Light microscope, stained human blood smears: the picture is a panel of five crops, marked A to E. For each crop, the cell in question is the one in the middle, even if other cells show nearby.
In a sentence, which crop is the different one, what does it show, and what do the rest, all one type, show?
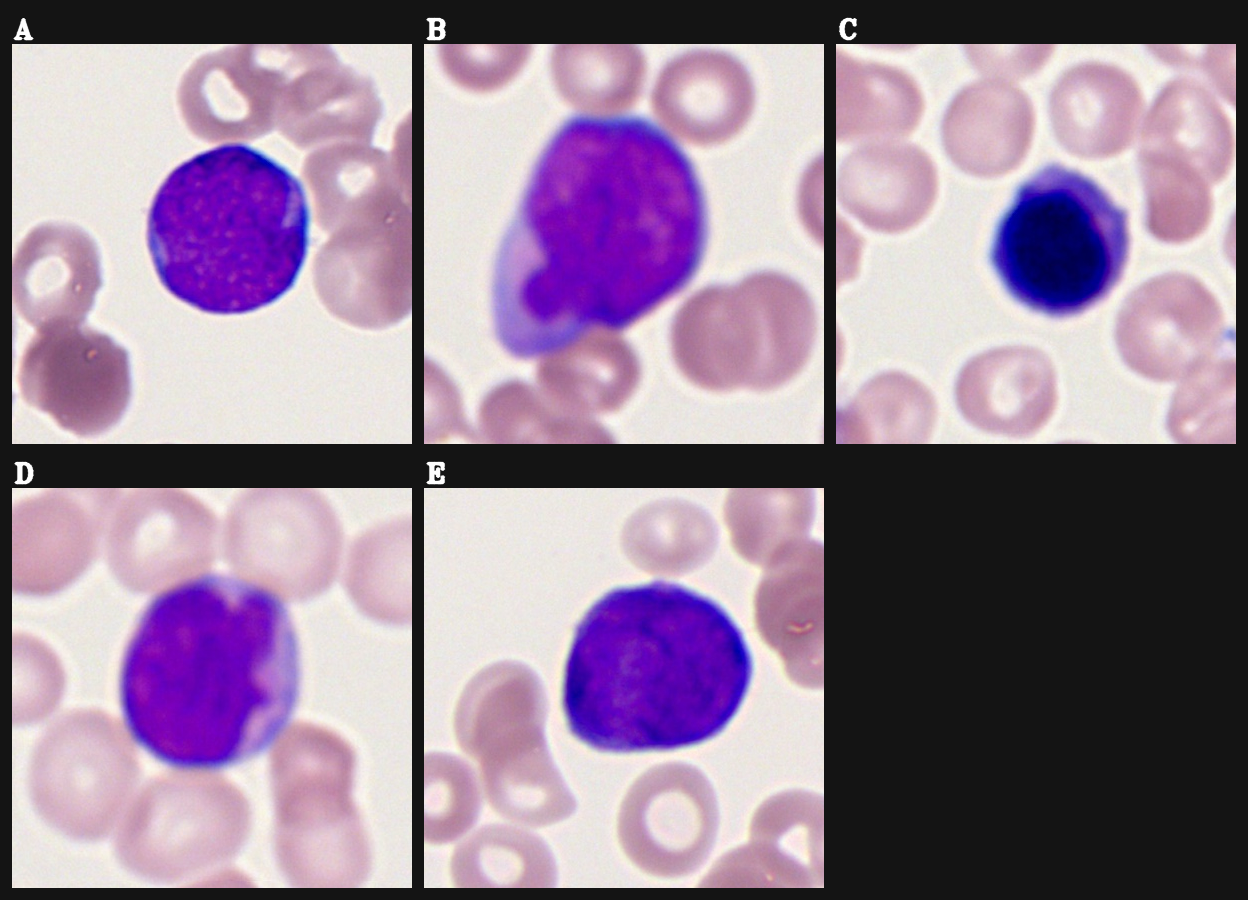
Crop C is the odd one out, being a lymphocyte, while all the other crops show myeloblasts.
